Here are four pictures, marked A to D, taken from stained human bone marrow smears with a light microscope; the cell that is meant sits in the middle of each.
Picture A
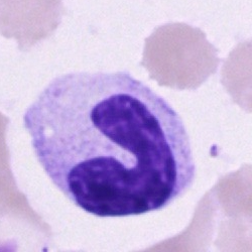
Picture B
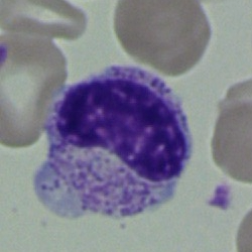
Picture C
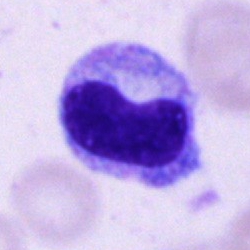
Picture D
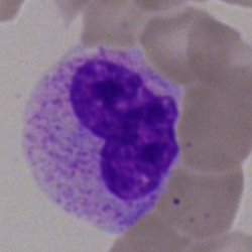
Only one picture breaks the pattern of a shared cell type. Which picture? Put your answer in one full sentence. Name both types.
All pictures except A show metamyelocytes; picture A shows a band neutrophil.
